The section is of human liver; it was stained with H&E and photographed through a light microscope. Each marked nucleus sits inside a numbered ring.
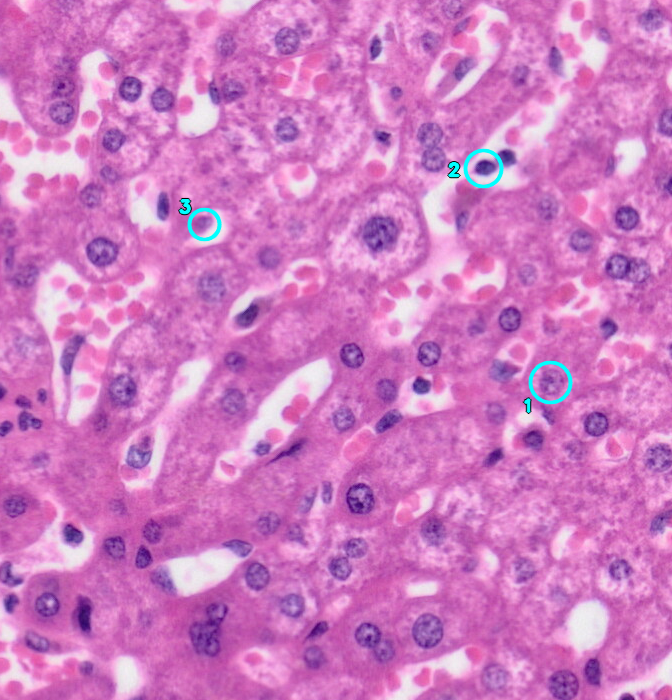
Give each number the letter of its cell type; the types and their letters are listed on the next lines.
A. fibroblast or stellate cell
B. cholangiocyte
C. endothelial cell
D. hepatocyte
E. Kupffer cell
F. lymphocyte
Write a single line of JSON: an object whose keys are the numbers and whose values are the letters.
{"1": "D", "2": "F", "3": "E"}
